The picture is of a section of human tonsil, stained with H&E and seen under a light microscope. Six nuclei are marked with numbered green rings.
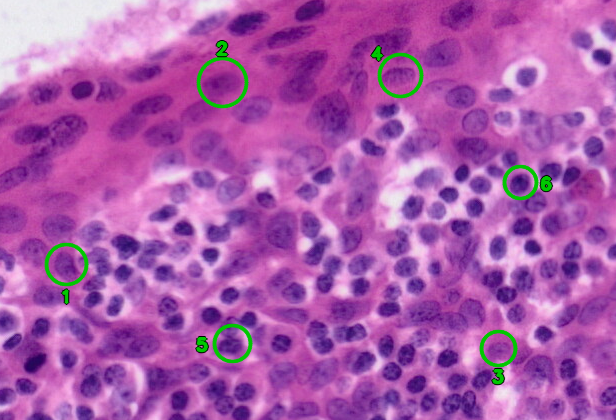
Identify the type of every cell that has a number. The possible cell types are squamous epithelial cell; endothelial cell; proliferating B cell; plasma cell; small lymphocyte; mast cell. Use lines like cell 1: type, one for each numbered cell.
cell 1: squamous epithelial cell
cell 2: squamous epithelial cell
cell 3: squamous epithelial cell
cell 4: squamous epithelial cell
cell 5: plasma cell
cell 6: plasma cell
